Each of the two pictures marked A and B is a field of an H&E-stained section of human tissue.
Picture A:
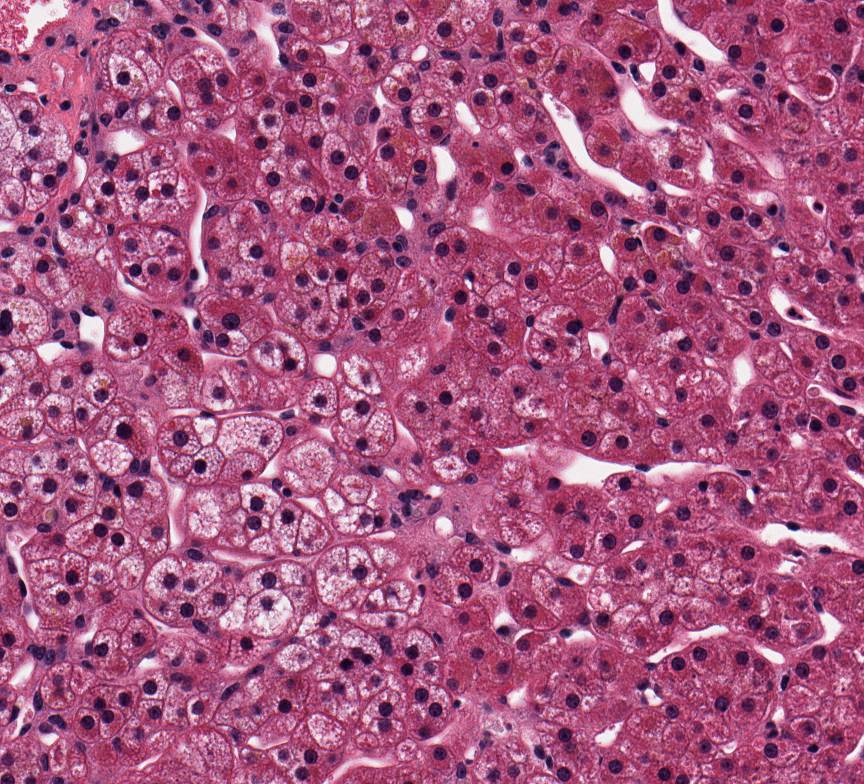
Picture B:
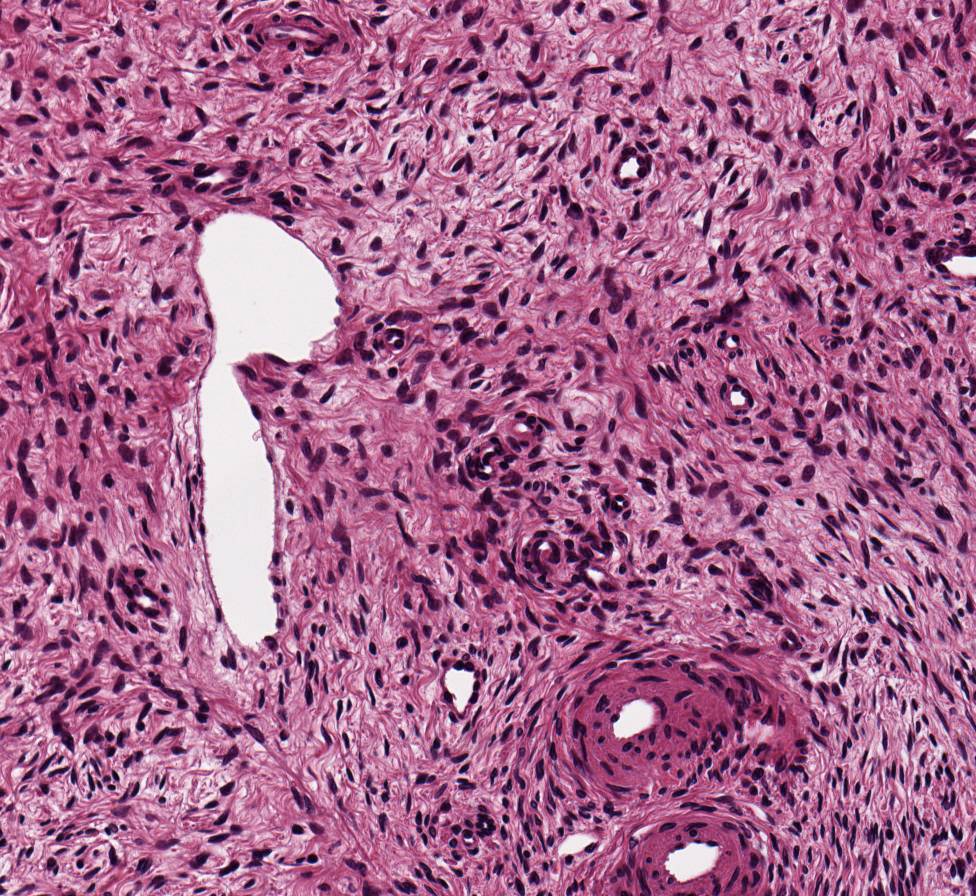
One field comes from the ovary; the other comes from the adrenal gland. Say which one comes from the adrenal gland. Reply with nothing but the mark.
A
